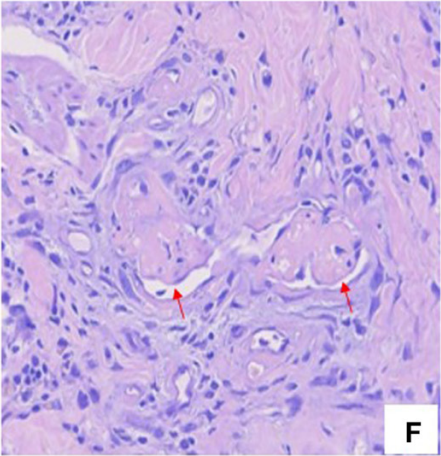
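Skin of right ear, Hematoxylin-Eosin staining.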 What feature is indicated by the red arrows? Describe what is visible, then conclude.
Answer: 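Microthrombi. The arrows point to small round vessel profiles in the dermis. Their lumina are filled with pink amorphous material, separated from the wall by a thin cleft.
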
